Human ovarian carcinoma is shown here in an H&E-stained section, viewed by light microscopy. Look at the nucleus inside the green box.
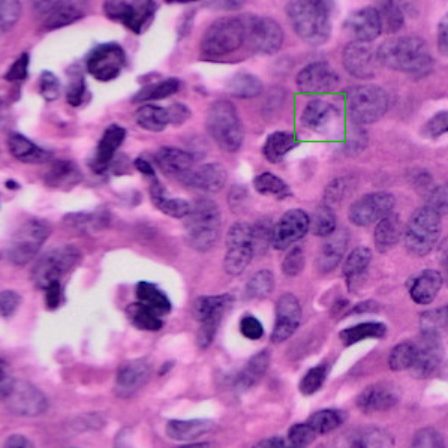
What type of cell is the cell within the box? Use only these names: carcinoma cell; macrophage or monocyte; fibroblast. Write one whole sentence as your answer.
The cell within the box appears to be a macrophage or monocyte.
